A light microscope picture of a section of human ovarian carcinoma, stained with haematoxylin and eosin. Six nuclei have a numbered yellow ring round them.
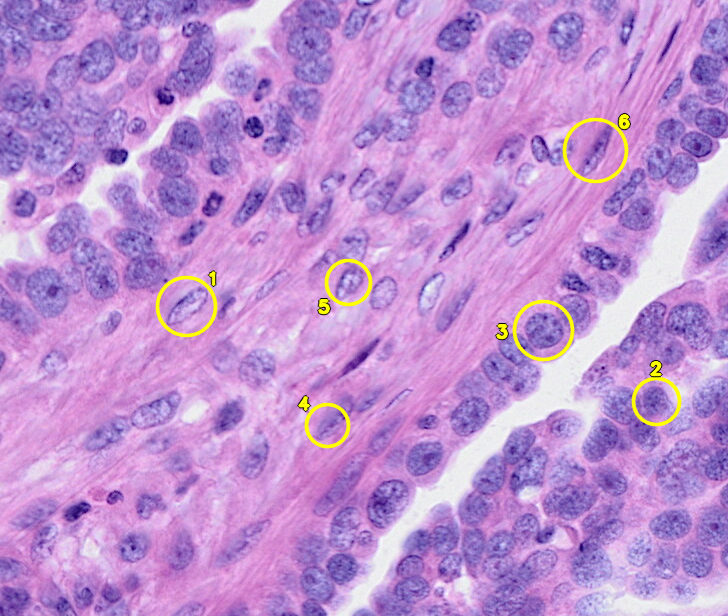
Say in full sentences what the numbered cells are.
Cells 1, 4, 5 and 6 are fibroblasts. Cells 2 and 3 are carcinoma cells.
